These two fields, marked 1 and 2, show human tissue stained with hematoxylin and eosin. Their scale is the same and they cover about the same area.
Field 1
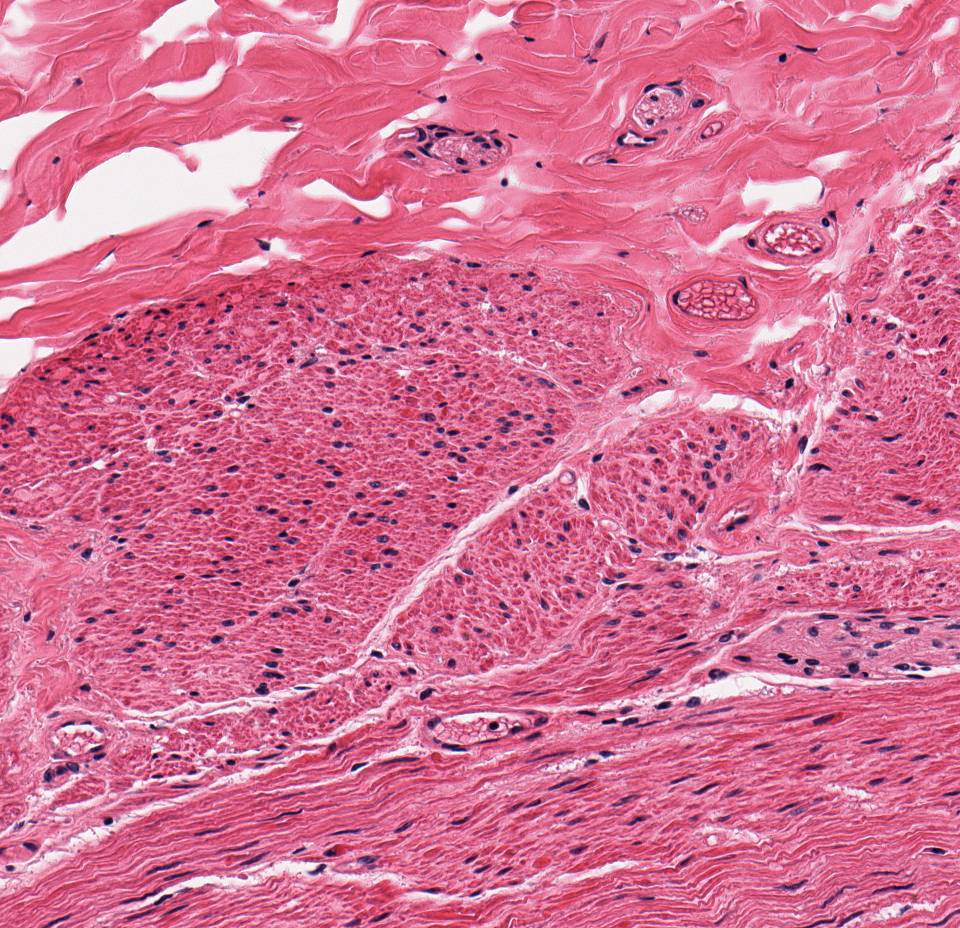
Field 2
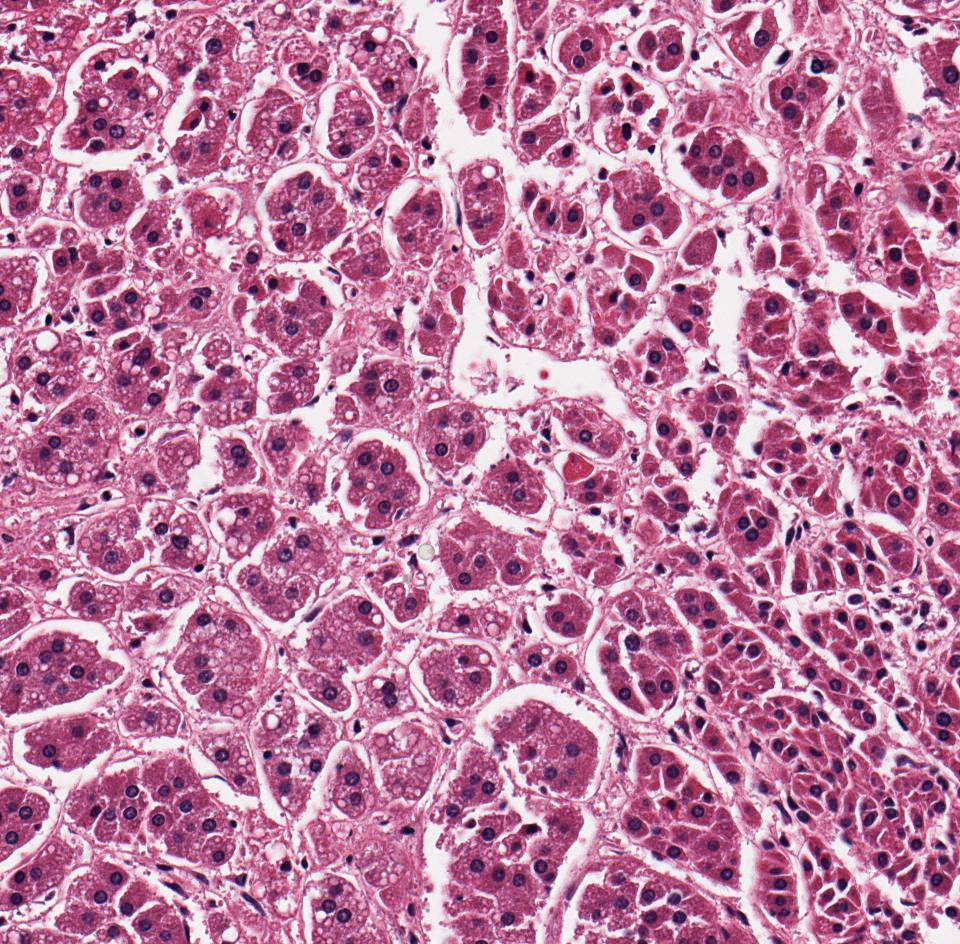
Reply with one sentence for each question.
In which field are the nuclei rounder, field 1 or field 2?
It is field 2 whose nuclei are the rounder.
